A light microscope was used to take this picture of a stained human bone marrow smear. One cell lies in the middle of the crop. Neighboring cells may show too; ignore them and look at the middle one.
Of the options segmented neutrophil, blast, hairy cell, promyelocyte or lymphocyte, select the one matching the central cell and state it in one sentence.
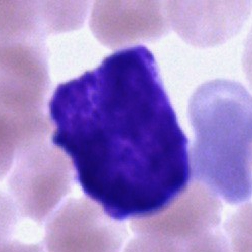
The middle position in this crop is taken by a blast.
